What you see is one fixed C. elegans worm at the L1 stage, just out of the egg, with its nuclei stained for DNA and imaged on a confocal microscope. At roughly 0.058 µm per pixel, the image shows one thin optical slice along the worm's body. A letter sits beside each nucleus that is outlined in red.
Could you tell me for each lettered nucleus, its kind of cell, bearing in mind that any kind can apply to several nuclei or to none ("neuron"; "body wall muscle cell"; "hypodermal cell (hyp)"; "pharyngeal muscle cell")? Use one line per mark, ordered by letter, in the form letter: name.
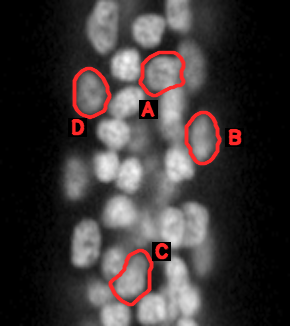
A: hypodermal cell (hyp)
B: body wall muscle cell
C: neuron
D: body wall muscle cell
